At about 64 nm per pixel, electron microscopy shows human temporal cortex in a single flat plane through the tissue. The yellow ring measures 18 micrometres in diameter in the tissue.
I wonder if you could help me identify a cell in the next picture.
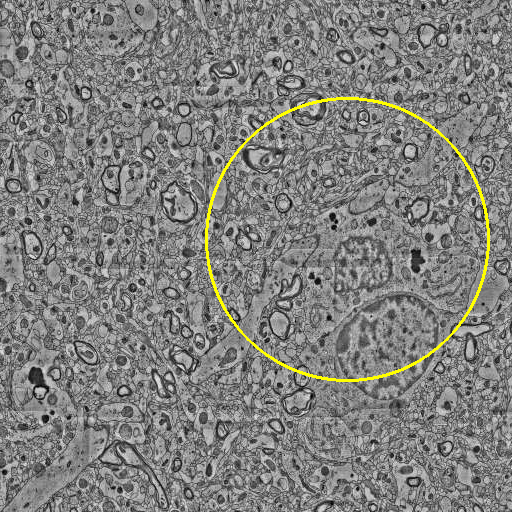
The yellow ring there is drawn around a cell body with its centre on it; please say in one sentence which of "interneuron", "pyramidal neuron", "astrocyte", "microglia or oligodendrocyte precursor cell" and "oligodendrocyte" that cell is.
The yellow ring is centred on an interneuron.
